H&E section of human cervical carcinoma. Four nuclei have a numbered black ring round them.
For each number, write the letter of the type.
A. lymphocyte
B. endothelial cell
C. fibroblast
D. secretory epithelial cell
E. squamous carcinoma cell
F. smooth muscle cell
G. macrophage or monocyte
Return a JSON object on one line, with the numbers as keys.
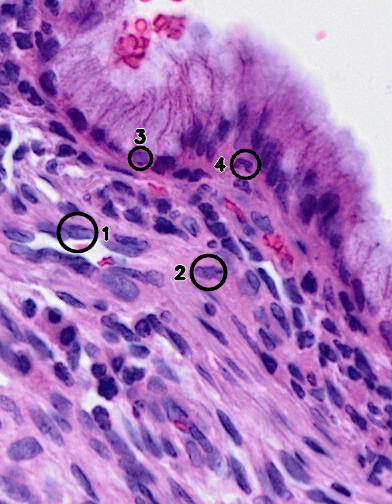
{"1": "B", "2": "B", "3": "D", "4": "D"}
